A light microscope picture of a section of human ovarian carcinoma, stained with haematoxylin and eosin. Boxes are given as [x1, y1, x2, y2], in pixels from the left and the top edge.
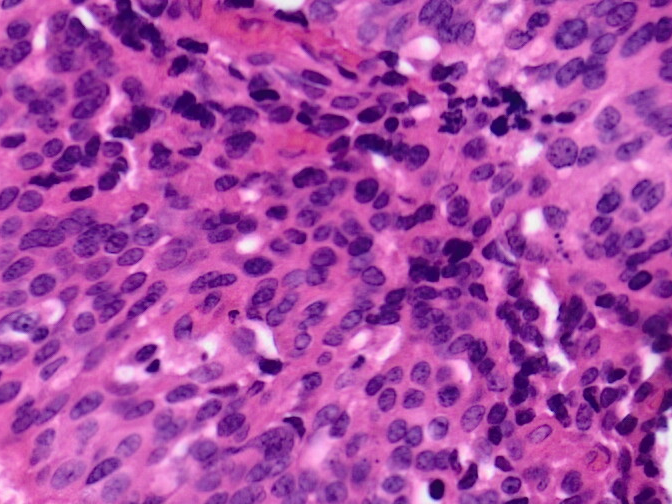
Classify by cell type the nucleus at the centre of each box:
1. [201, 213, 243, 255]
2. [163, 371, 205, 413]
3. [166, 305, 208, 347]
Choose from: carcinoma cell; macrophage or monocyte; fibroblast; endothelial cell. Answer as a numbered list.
1. carcinoma cell
2. macrophage or monocyte
3. endothelial cell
